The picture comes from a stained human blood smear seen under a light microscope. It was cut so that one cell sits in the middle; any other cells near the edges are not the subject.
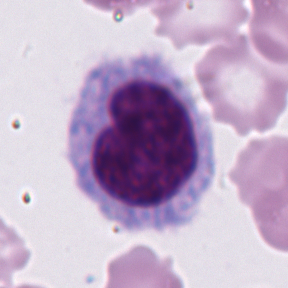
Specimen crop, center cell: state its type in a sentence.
Positioned in the middle of the crop is a hairy cell.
